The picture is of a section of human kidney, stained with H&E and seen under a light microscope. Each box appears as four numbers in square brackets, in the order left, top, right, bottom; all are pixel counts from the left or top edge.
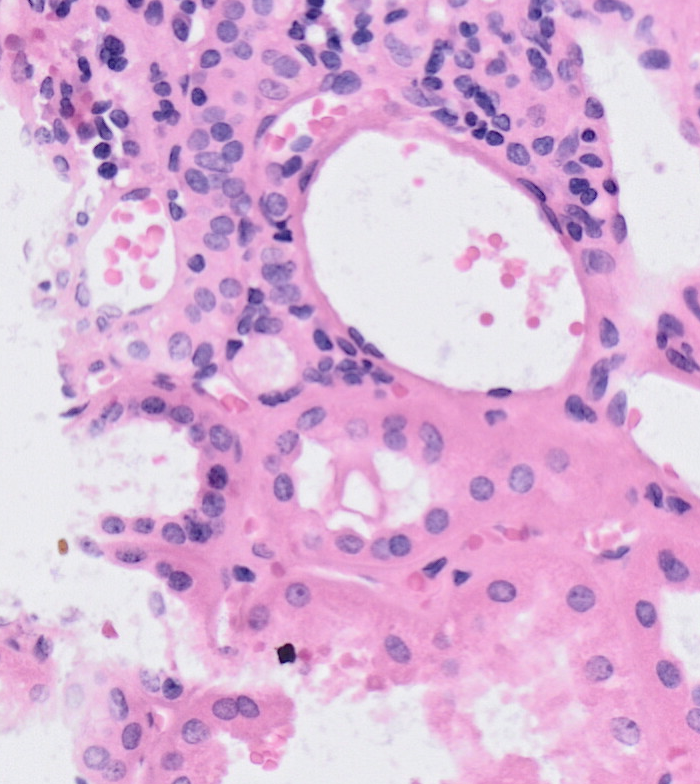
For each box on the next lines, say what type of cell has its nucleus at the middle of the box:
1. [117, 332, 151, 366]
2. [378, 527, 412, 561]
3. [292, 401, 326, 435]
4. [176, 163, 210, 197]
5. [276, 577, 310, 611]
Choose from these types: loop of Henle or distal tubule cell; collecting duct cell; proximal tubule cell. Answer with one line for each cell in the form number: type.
1: collecting duct cell
2: loop of Henle or distal tubule cell
3: collecting duct cell
4: collecting duct cell
5: proximal tubule cell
